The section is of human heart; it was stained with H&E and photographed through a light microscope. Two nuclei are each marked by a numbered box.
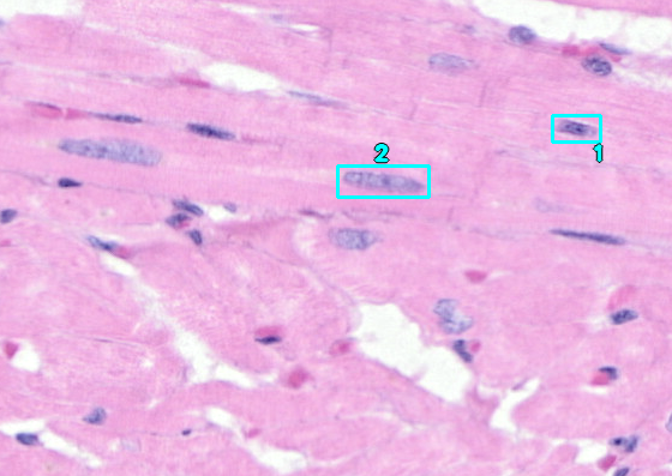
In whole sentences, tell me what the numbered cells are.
Cell 1 is an endothelial cell and cell 2 is a cardiomyocyte.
